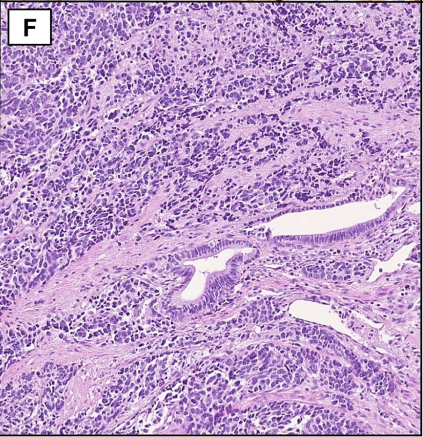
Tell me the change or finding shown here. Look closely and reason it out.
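Sheets of crowded small cells with scant cytoplasm. Dark, closely packed nuclei with little stroma between cells.
Small cell type neuroendocrine carcinoma.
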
